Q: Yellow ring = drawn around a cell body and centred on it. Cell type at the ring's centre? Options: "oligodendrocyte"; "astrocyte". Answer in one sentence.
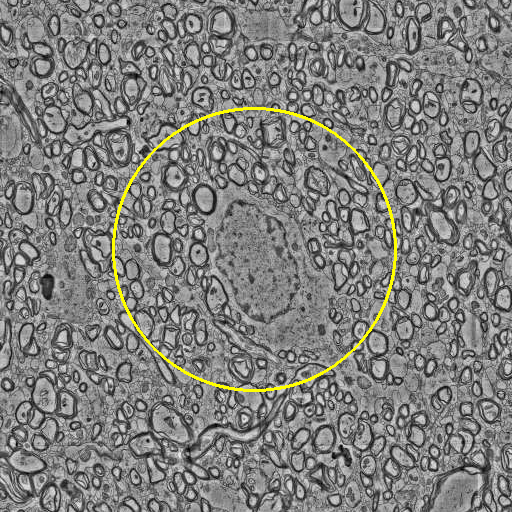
Centred in the ring is an astrocyte.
